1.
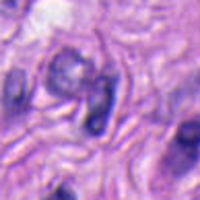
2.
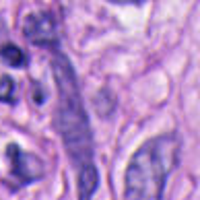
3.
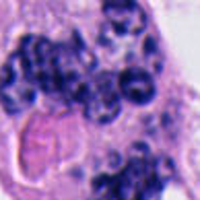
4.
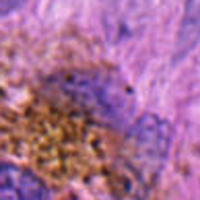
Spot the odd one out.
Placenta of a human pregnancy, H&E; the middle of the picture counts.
Picture 3 (a syncytial knot among vascular myocytes).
